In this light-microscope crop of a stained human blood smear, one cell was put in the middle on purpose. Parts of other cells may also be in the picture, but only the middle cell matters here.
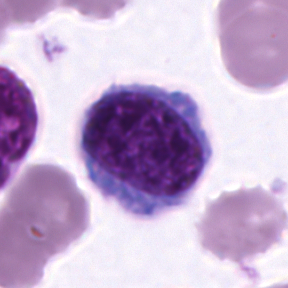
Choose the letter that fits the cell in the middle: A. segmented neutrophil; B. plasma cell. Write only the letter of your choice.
B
